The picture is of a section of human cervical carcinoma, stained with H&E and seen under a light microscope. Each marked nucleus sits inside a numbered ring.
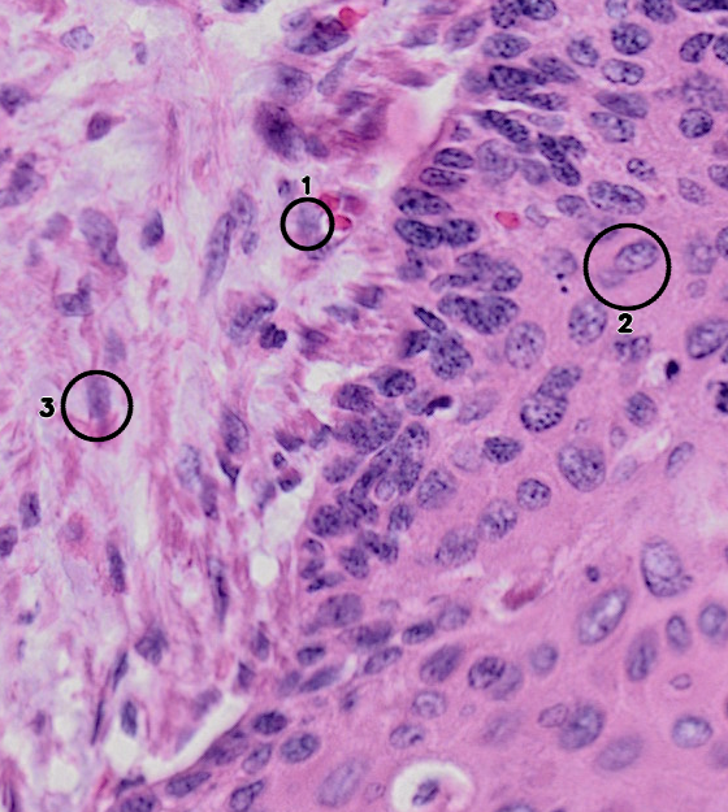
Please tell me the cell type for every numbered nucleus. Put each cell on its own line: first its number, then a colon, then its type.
1: endothelial cell
2: squamous carcinoma cell
3: fibroblast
